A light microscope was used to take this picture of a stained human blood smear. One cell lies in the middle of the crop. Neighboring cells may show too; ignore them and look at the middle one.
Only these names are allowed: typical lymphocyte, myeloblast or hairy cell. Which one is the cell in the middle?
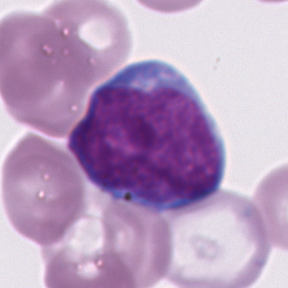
myeloblast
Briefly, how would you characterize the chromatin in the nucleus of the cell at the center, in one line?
The chromatin is fine throughout, without coarse clumps.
